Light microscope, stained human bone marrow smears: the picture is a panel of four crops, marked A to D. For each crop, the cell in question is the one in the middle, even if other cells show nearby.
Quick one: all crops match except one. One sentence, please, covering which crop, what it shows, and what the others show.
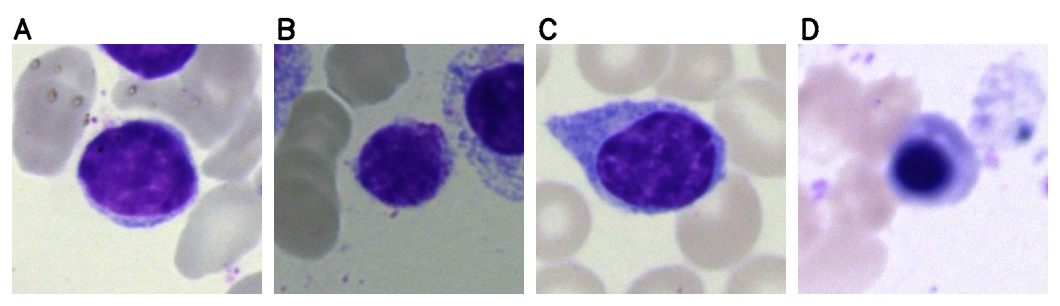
In this set, all crops show lymphocytes apart from crop D, which is an erythroblast.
